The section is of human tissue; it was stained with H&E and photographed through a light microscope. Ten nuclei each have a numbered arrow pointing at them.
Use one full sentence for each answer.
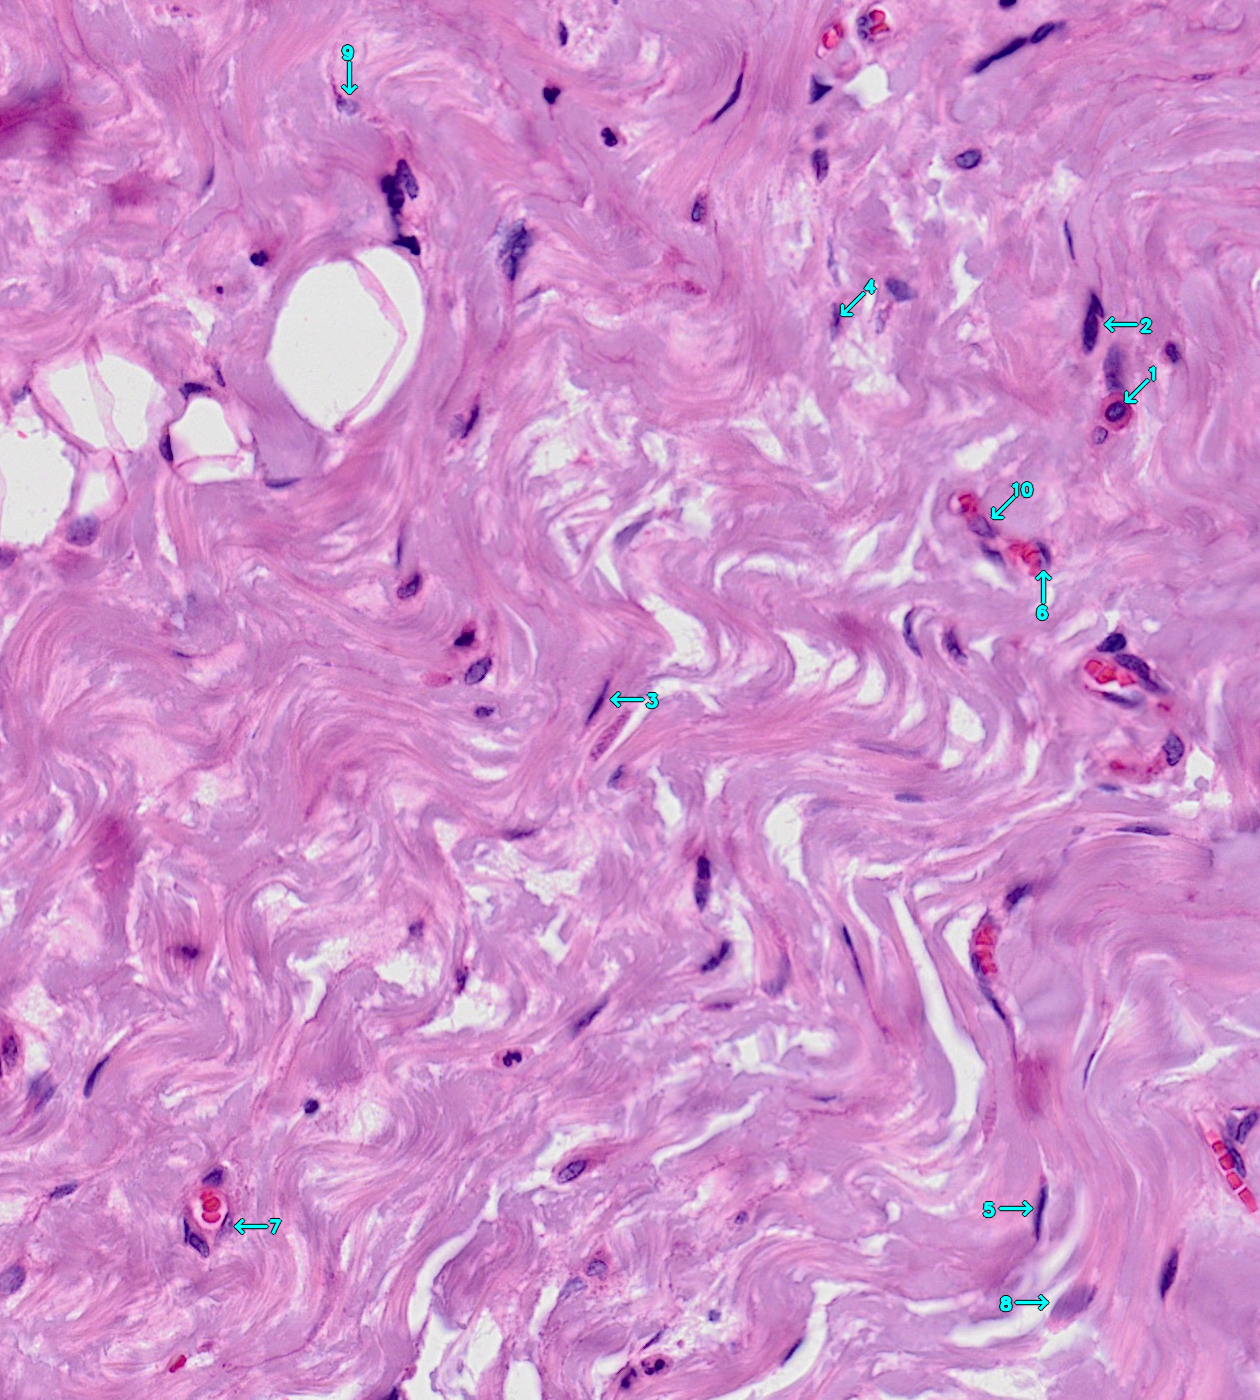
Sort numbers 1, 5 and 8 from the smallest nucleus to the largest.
From smallest to largest, the order is 1, 5, 8.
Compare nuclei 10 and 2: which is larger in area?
Nucleus 2 is larger, with an area about 2 times that of nucleus 10.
